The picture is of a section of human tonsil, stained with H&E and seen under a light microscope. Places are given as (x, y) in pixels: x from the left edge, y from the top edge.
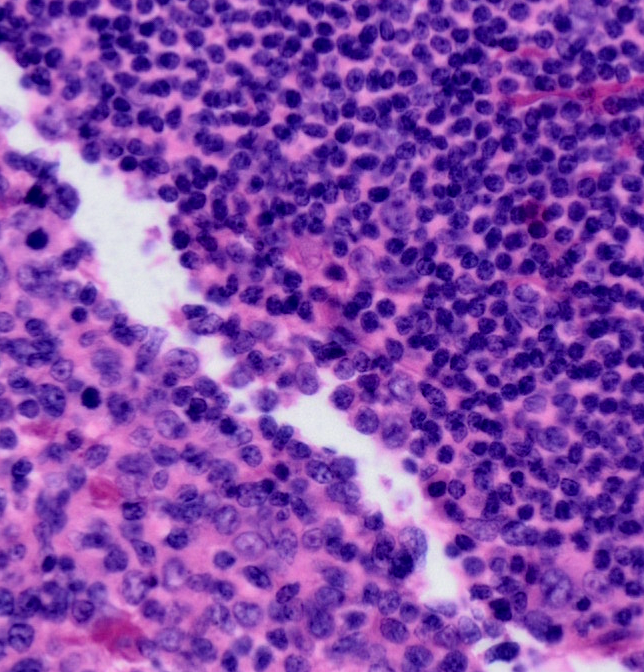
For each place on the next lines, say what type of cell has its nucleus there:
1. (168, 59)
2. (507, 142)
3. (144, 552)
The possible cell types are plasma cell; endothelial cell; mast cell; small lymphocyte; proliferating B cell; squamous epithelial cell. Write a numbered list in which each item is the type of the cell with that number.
1. small lymphocyte
2. small lymphocyte
3. proliferating B cell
